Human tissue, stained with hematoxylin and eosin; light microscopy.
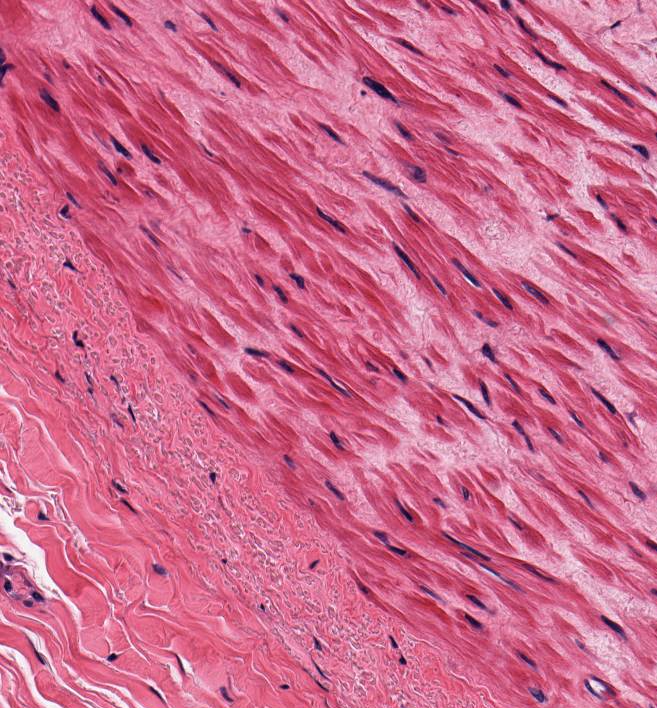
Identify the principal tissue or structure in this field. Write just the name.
tunica media of an artery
